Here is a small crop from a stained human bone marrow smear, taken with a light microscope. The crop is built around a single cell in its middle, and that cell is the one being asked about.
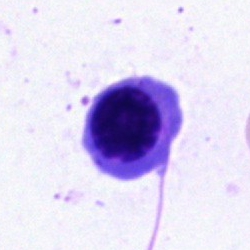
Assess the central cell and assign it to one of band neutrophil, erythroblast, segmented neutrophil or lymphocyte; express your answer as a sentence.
For this crop, the cell in the middle is an erythroblast.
